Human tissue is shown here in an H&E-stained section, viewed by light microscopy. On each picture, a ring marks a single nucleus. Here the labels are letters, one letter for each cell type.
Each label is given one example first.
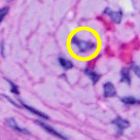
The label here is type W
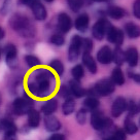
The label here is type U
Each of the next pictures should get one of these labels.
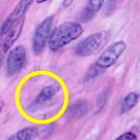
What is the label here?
type W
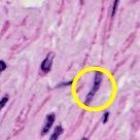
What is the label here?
type W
